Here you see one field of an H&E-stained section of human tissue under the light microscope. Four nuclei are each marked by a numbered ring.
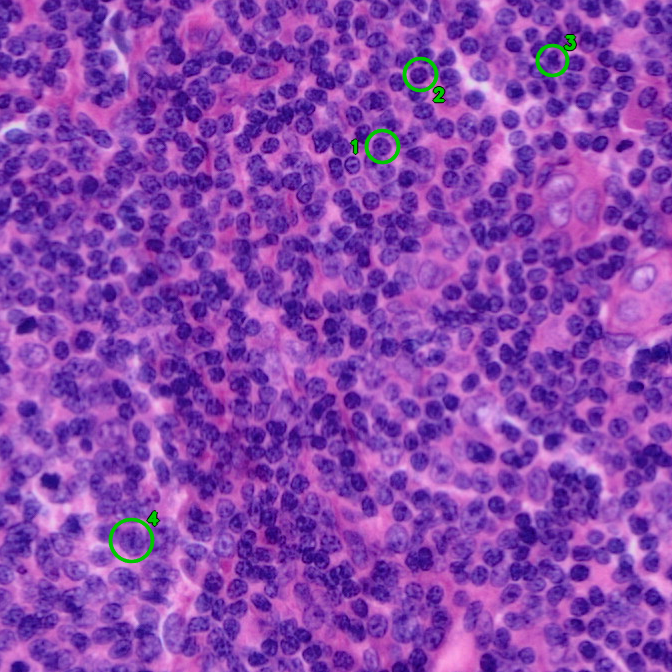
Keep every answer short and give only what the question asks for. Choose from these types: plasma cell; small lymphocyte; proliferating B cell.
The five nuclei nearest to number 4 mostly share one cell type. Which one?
proliferating B cell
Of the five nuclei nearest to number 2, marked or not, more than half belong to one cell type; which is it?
small lymphocyte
